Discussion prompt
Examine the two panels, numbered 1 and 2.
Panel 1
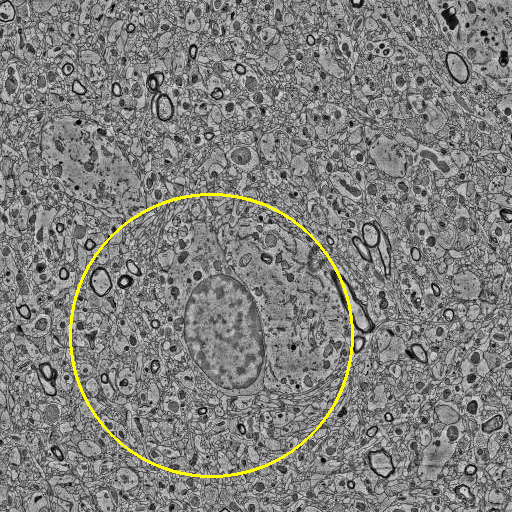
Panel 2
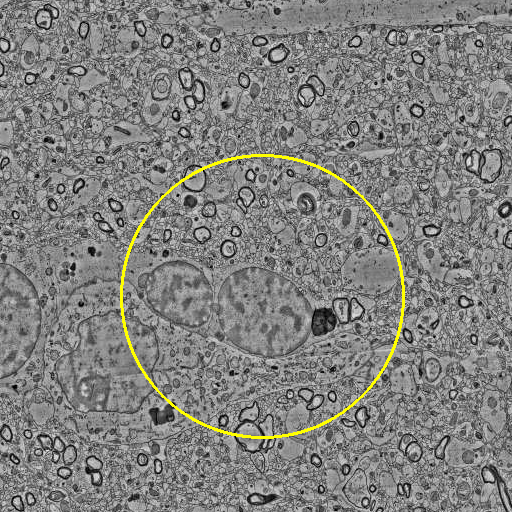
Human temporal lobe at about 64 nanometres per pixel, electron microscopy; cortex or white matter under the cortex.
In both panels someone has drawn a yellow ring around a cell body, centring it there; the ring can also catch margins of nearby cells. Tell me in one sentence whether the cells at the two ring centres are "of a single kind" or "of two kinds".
Taken together, the two cells centred in the rings of Panels 1 and 2 are of a single kind.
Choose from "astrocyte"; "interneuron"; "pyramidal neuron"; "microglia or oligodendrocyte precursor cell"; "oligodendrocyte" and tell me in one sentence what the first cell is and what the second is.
Each cell at the centre of a ring is an oligodendrocyte.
